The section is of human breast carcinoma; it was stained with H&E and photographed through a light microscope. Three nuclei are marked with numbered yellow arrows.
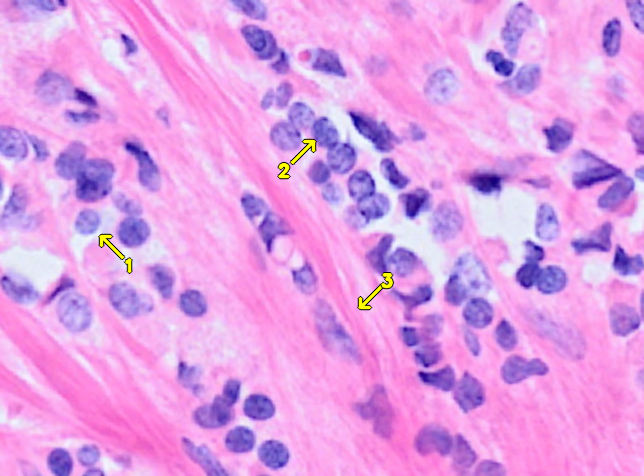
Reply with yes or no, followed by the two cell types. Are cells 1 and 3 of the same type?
No, cell 1 is a carcinoma cell, with cell 3 being a fibroblast.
